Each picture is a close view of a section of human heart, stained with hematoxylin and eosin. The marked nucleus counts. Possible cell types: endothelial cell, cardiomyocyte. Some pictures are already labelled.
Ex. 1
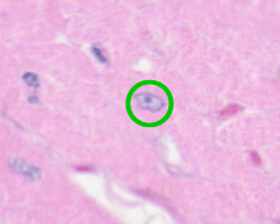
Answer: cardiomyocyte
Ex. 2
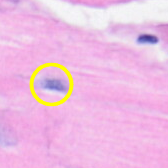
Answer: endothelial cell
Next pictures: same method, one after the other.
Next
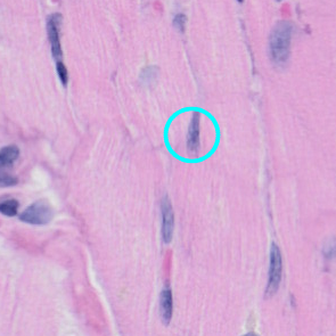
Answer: endothelial cell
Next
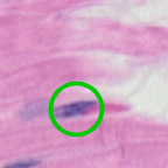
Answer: endothelial cell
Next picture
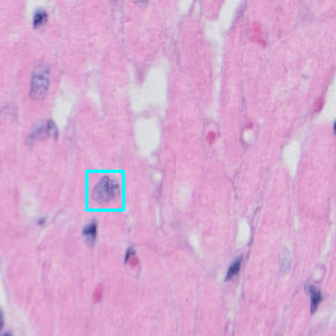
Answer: cardiomyocyte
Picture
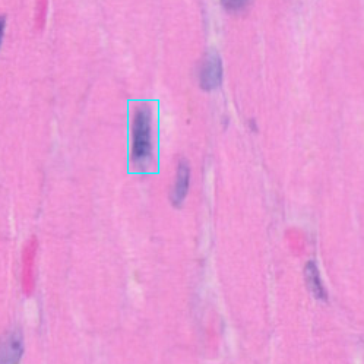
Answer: endothelial cell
